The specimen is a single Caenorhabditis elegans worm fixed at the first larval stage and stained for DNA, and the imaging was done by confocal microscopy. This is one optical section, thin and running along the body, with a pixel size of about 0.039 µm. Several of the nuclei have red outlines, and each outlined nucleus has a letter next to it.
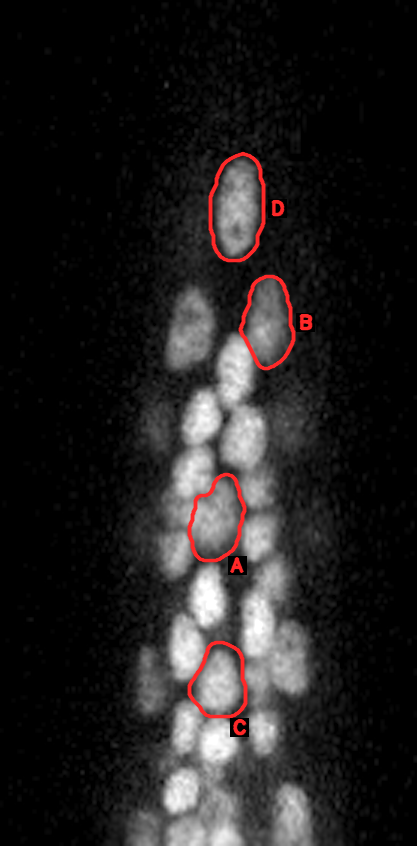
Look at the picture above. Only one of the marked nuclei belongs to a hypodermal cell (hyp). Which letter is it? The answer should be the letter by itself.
D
